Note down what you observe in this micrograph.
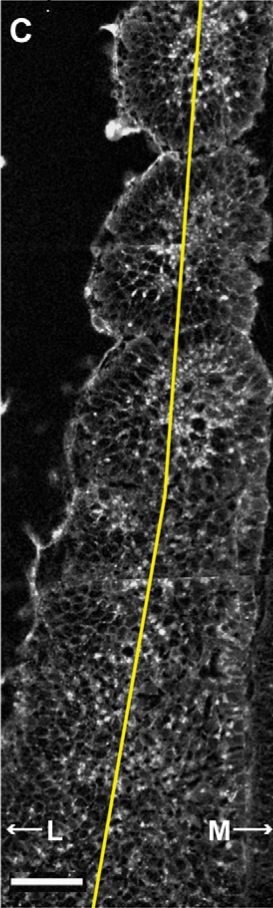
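The cell membranes are outlined in white, so the tissue looks like a fine mesh of many small, closely packed polygonal cells. In the upper half the tissue is divided into rounded blocks, the somites, separated from one another by clear borders. Within each somite the cells are arranged radially around a central region, with bright dots gathered toward the centre. In the lower half the tissue forms a continuous band of evenly packed cells without such borders.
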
